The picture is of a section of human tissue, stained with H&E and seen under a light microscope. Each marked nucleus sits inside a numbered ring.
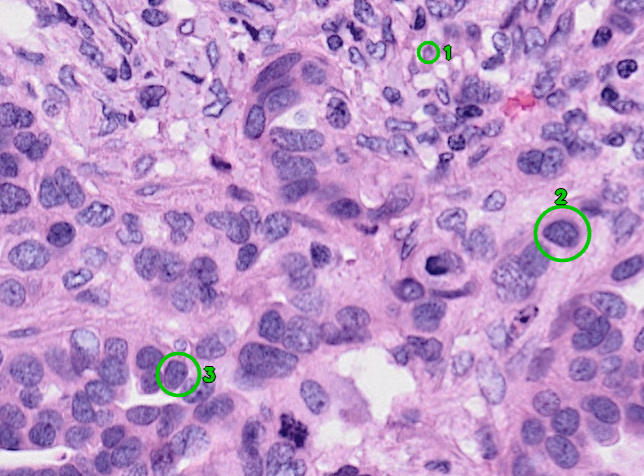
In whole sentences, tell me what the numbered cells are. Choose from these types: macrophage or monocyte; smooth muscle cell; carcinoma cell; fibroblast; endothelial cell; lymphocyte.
Cell 1 is a fibroblast. Cells 2 and 3 are carcinoma cells.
